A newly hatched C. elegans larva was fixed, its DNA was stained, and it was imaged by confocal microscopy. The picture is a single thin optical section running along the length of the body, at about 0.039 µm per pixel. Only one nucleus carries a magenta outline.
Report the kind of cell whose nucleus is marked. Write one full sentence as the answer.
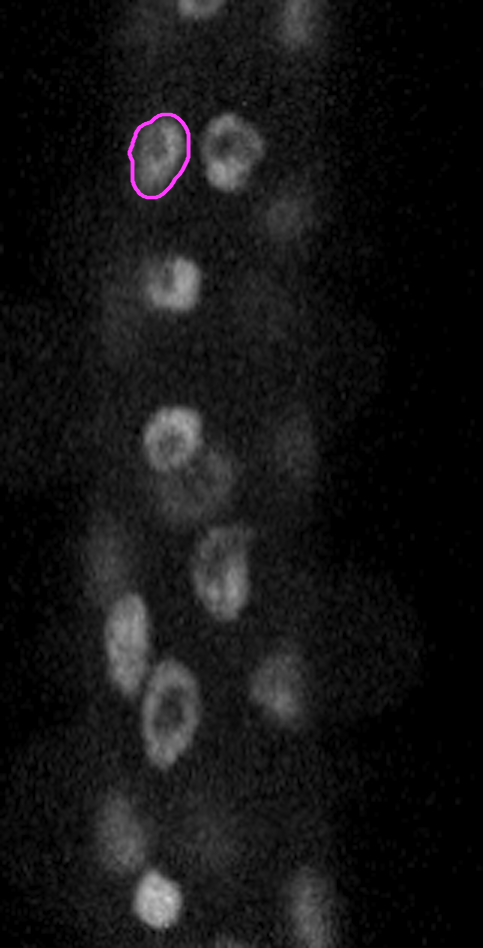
This is the nucleus of a P cell (ventral epidermal blast cell).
